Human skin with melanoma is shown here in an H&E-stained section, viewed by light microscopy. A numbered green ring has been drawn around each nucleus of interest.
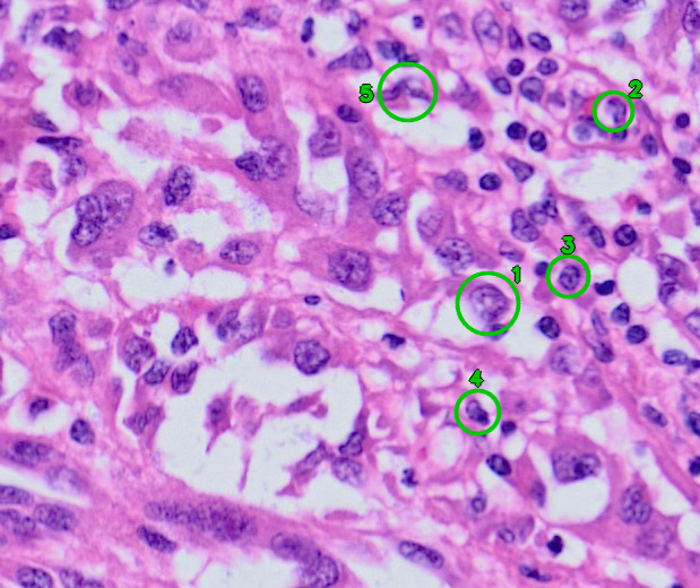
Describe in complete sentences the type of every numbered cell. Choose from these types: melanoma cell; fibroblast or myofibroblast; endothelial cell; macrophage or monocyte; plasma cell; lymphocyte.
Cell 1 is a melanoma cell. Cell 2 is an endothelial cell. Cell 3 is a plasma cell. Cell 4 is a lymphocyte. Cell 5 is a fibroblast or myofibroblast.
